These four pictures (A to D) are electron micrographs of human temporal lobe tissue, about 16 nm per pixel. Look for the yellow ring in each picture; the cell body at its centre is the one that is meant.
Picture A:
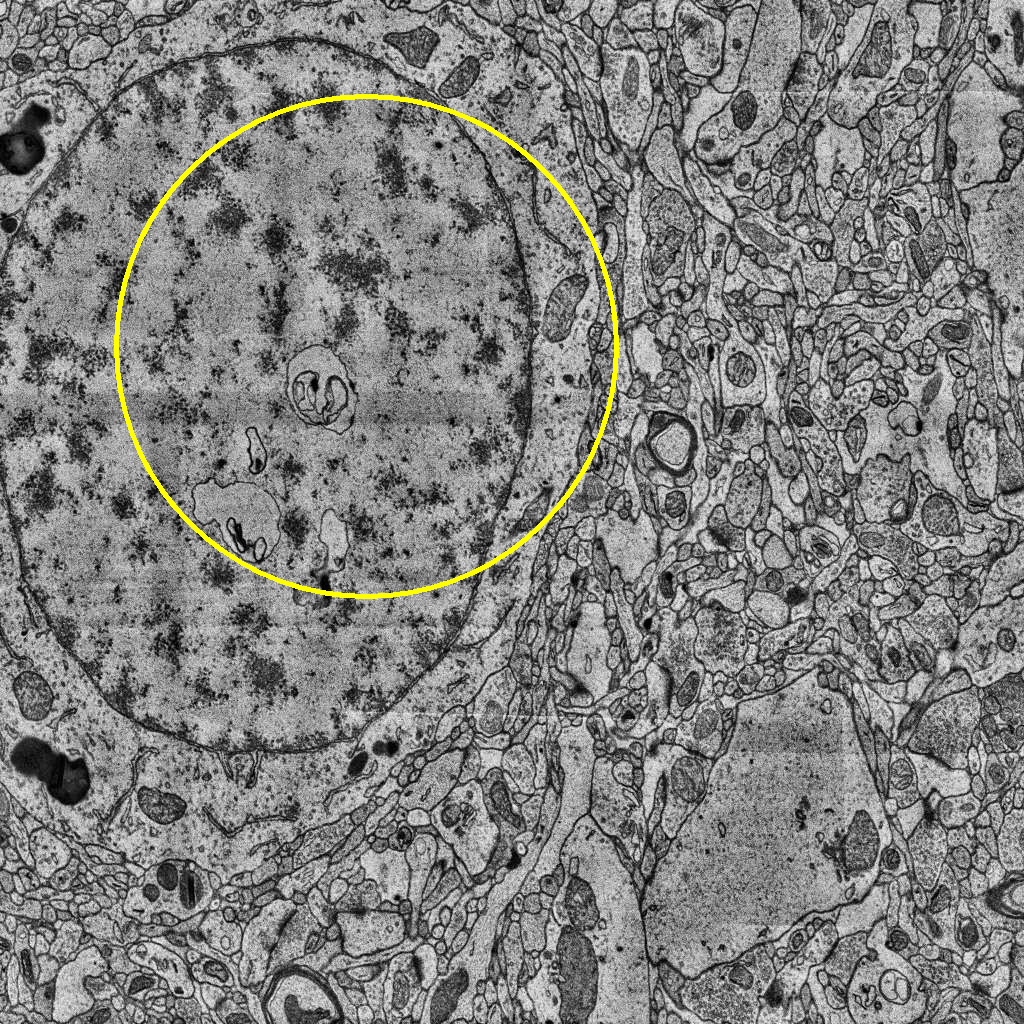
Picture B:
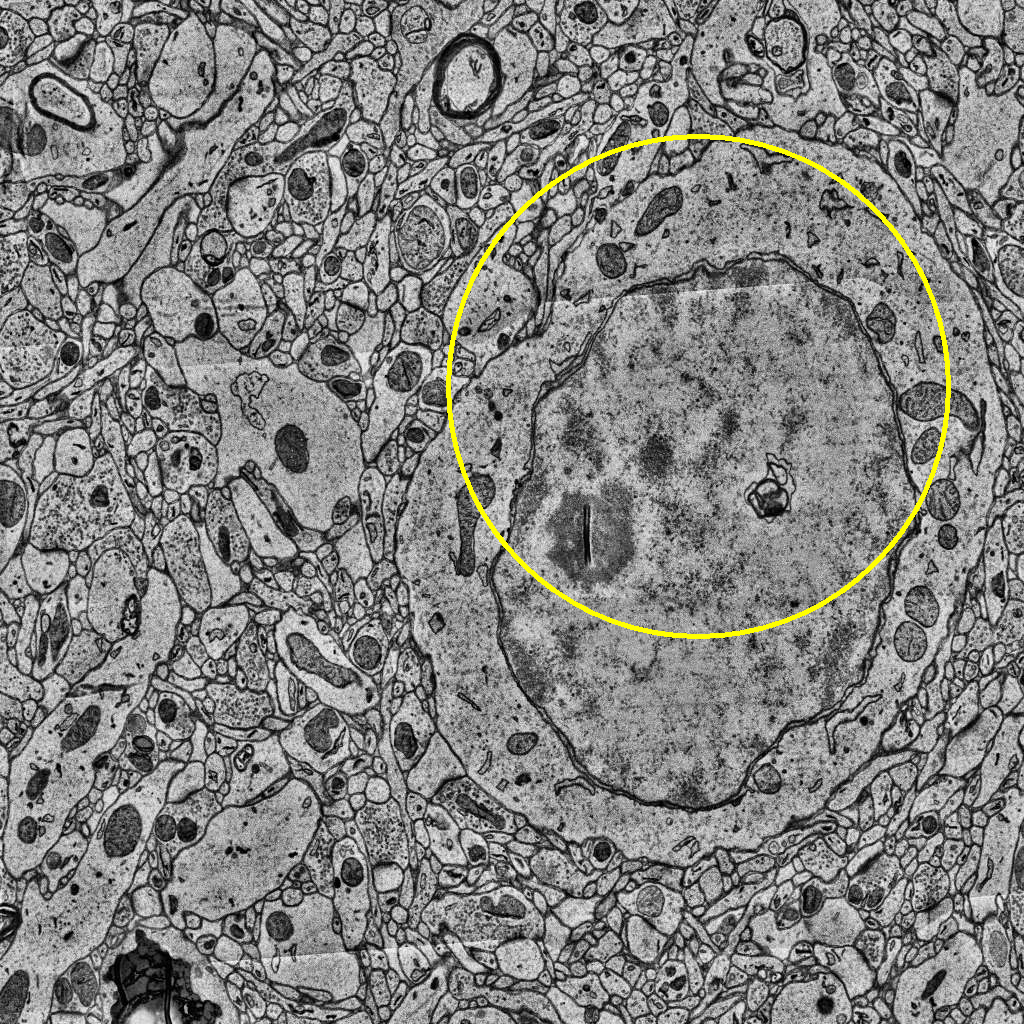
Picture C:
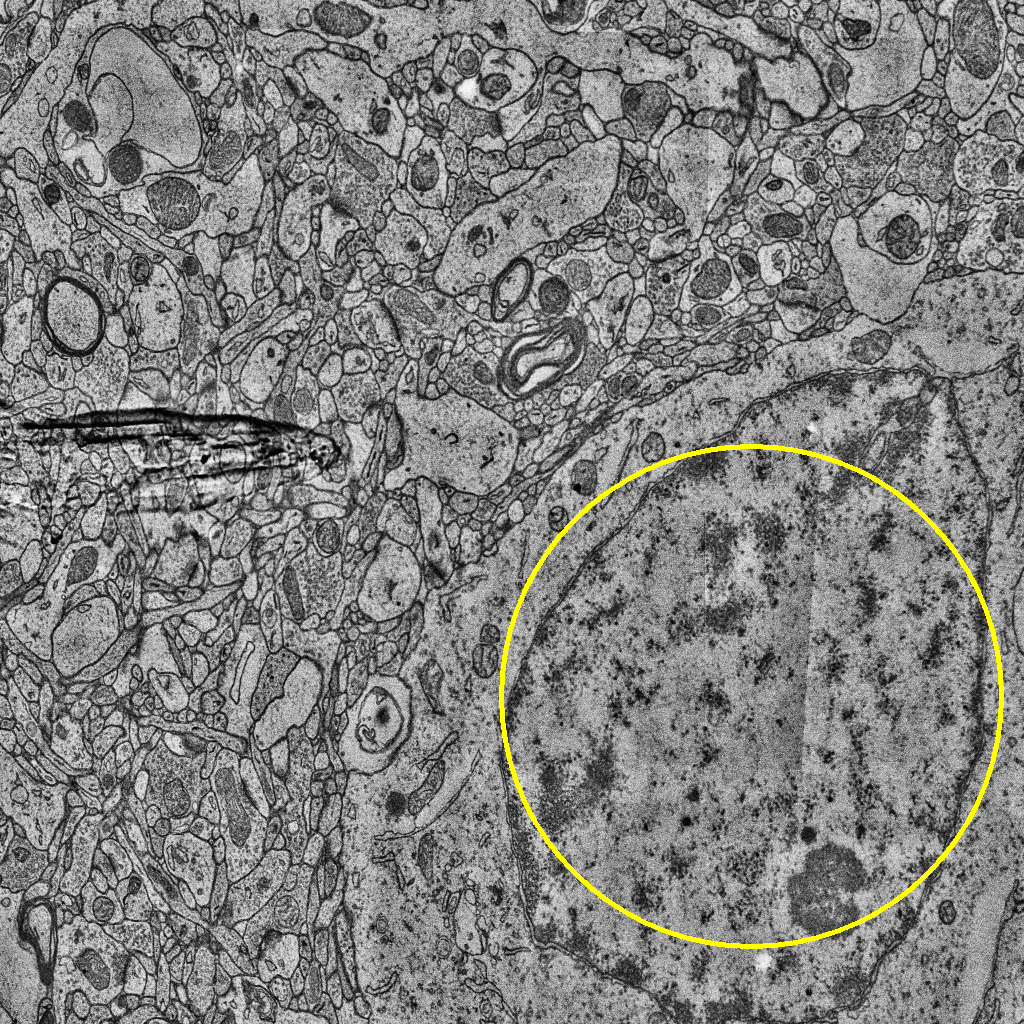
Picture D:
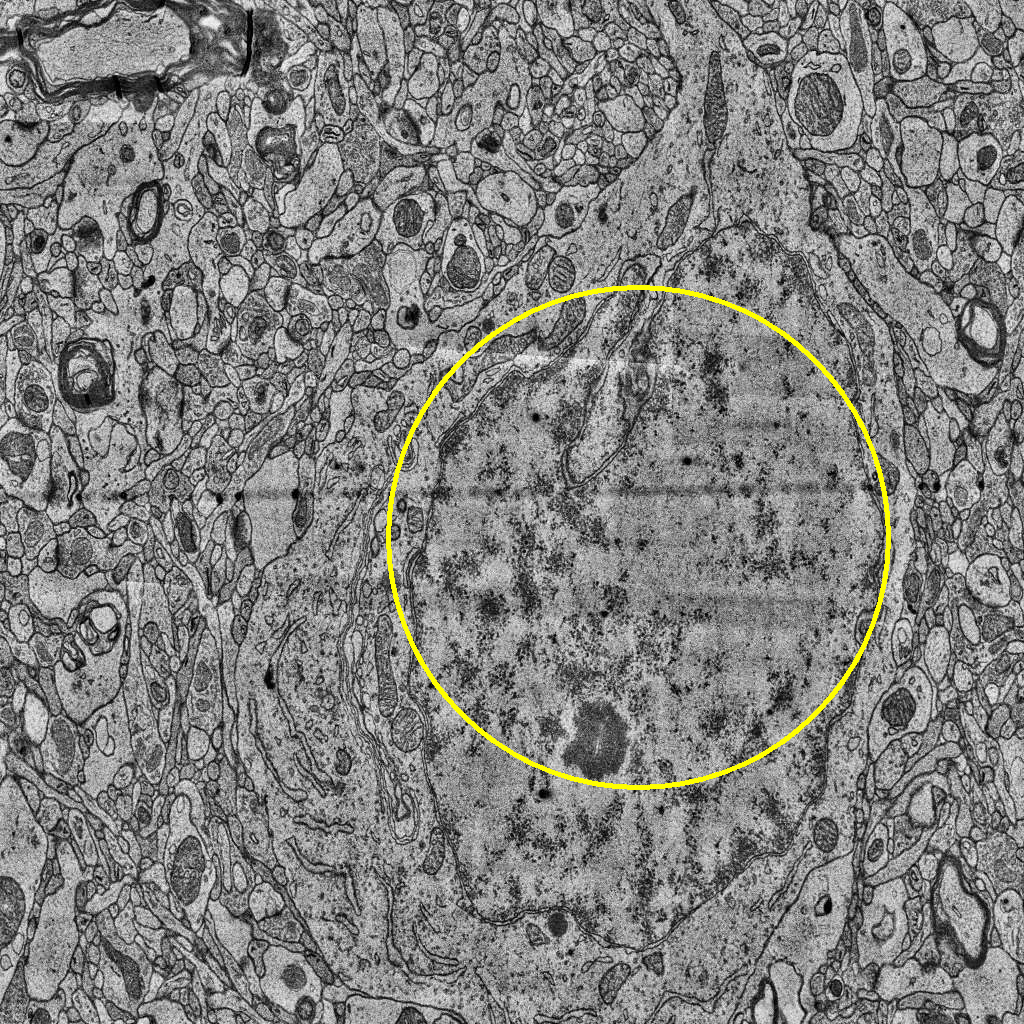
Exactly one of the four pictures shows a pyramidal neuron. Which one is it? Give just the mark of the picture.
A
